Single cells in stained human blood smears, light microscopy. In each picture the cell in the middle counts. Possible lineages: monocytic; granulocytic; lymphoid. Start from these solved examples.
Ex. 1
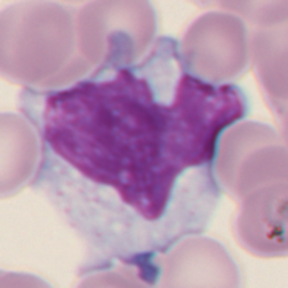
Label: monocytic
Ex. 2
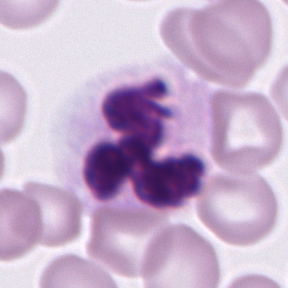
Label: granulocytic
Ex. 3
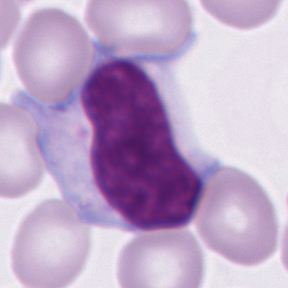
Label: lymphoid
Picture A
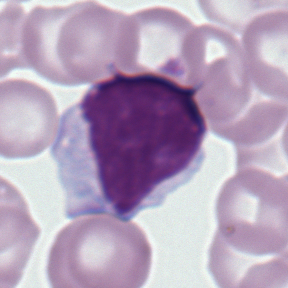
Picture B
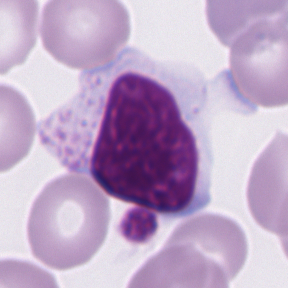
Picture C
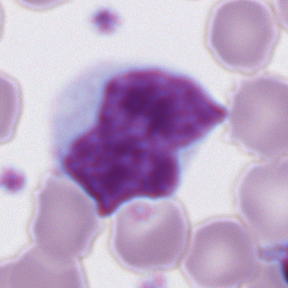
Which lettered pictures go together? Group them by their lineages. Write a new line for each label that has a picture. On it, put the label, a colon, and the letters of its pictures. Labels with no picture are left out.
lymphoid: A, B, C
